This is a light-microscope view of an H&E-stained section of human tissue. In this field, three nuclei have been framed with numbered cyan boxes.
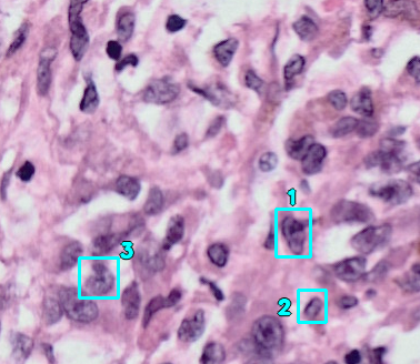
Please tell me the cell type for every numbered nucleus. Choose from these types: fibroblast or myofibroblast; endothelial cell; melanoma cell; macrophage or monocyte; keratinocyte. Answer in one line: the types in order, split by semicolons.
macrophage or monocyte; macrophage or monocyte; melanoma cell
